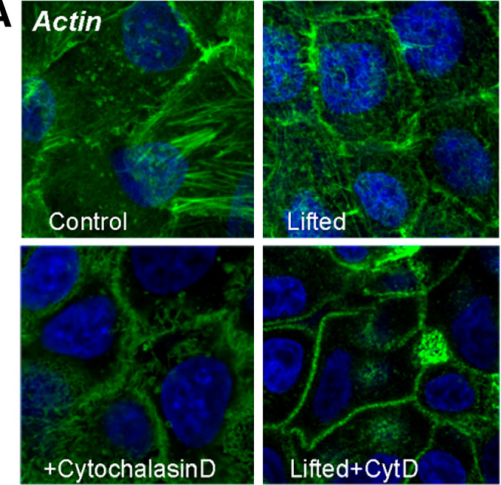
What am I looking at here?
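These are sheets of closely packed polygonal epithelial cells, each with a large oval blue nucleus, and the green filament network of the cytoplasm. In one view, long straight green bundles run in parallel across the cells. One view also shows a bright, coarse green clump within a cell.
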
